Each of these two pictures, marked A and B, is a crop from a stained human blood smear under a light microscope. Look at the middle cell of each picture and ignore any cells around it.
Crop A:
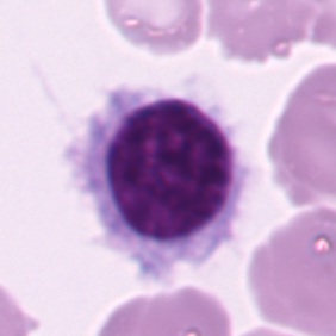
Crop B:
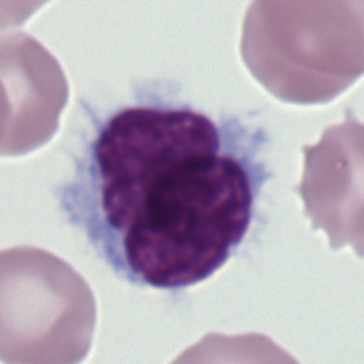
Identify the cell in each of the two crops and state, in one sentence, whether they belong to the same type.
Yes, that is right, both crops show hairy cells.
